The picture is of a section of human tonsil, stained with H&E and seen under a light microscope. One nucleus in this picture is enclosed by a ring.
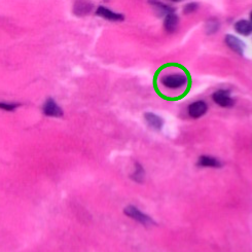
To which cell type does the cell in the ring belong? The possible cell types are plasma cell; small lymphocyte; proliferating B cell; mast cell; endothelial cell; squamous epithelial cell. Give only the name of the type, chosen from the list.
mast cell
